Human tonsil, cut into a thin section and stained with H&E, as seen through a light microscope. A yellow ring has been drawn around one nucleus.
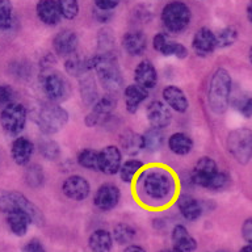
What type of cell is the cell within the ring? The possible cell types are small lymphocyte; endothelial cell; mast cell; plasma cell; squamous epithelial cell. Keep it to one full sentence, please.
The correct response here is that the cell within the ring is a plasma cell.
